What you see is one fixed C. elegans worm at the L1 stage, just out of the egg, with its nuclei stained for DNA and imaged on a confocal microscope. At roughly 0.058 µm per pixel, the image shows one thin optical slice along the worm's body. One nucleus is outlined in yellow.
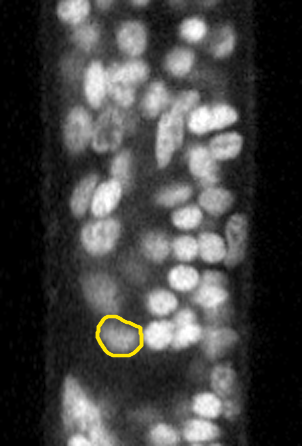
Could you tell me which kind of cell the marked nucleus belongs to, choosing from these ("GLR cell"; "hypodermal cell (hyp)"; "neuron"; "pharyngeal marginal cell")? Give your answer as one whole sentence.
The nucleus comes from a GLR cell.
